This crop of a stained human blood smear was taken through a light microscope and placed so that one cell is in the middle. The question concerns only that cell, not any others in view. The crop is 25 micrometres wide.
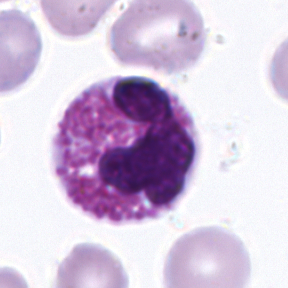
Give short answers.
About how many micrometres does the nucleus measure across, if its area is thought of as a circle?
8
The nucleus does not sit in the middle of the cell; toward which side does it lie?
right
